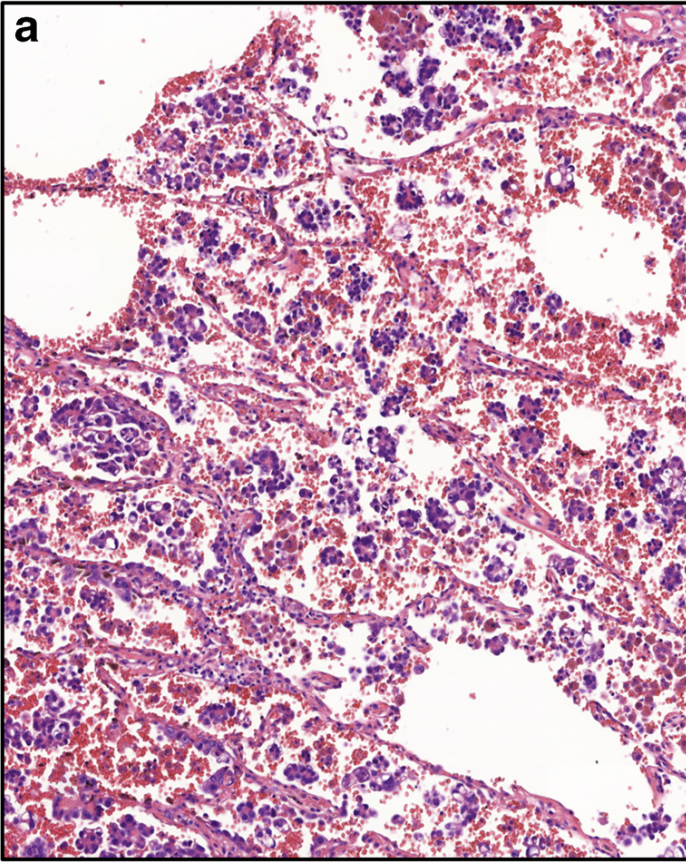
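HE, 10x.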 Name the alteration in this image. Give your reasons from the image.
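Micropapillary adenocarcinoma. Many small clusters of dark purple cells float within air spaces. The clusters lack a central fibrovascular core. Thin septa separate spaces filled with red blood cells and cell clusters.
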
